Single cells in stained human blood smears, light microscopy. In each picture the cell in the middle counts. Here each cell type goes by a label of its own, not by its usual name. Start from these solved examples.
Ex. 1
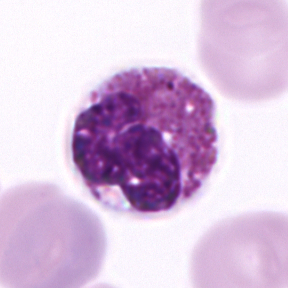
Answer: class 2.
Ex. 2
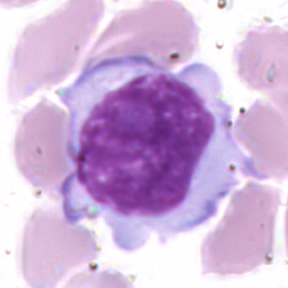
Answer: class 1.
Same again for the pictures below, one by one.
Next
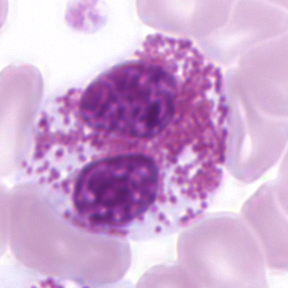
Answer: class 2.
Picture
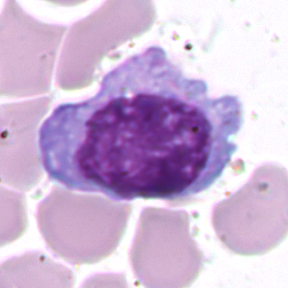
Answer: class 1.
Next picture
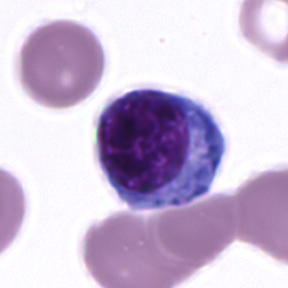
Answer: class 1.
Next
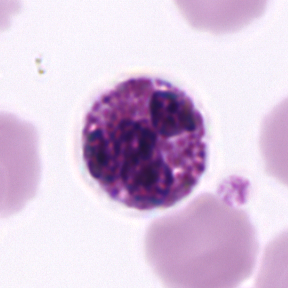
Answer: class 2.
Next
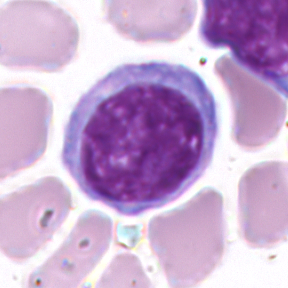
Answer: class 1.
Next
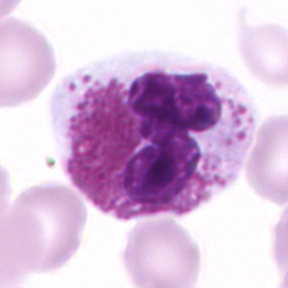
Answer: class 2.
